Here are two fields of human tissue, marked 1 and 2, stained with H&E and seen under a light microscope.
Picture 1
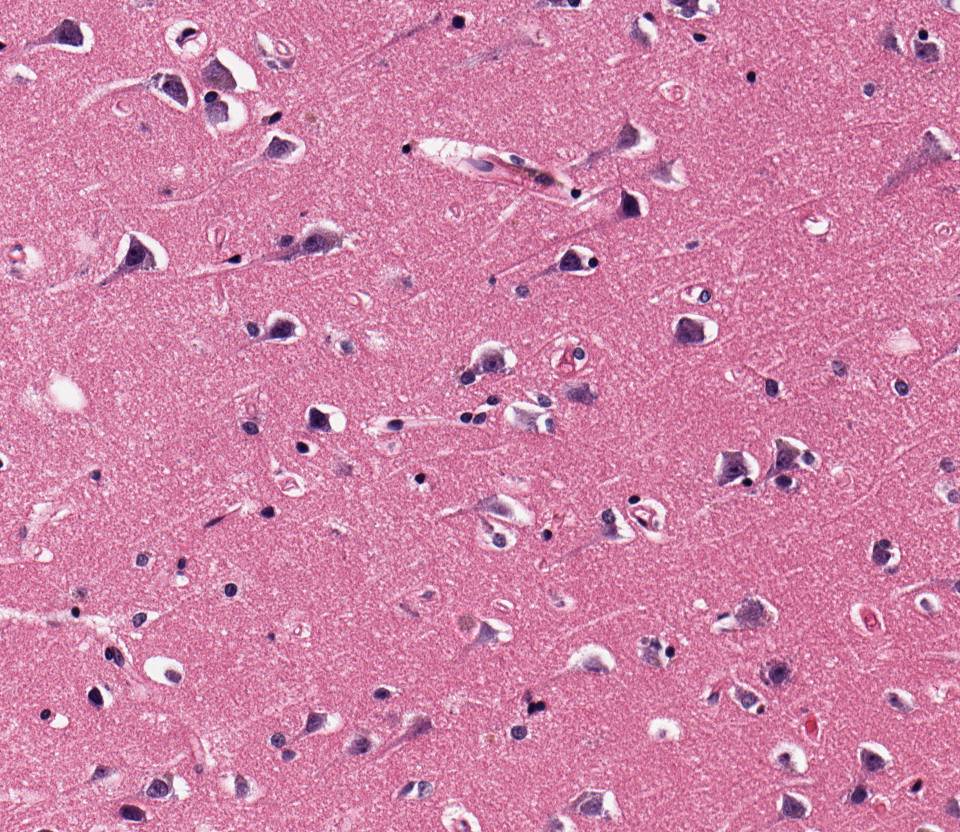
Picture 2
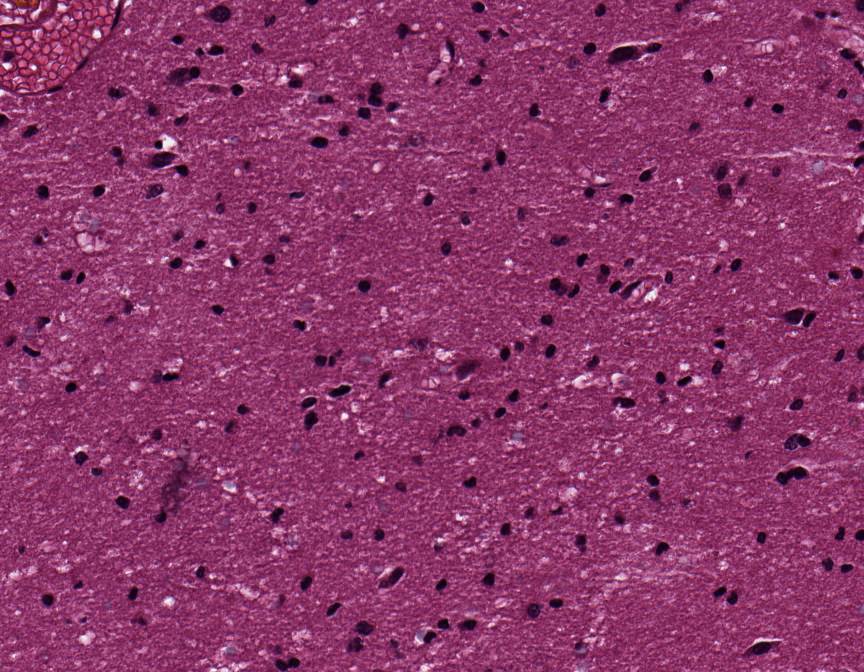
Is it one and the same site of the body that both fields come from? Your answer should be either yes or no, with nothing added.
yes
